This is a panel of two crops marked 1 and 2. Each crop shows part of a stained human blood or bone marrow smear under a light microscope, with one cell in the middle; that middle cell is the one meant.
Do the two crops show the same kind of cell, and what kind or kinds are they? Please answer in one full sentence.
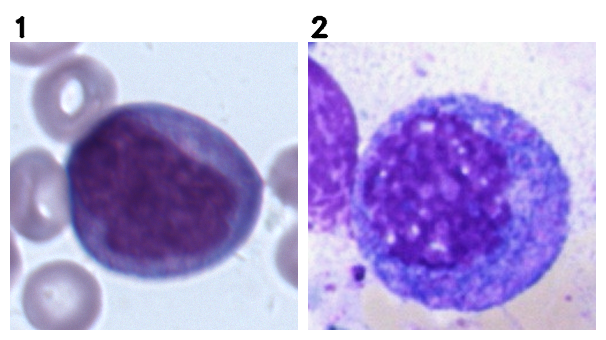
Yes, both crops show promyelocytes in their central position.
